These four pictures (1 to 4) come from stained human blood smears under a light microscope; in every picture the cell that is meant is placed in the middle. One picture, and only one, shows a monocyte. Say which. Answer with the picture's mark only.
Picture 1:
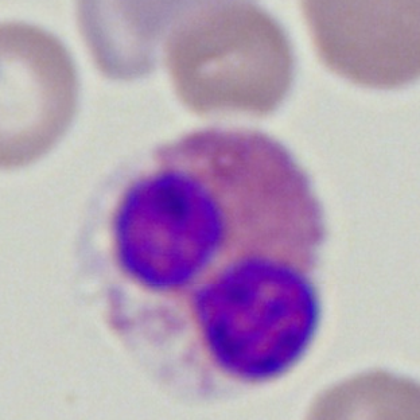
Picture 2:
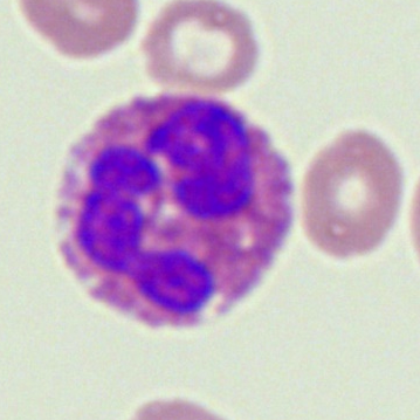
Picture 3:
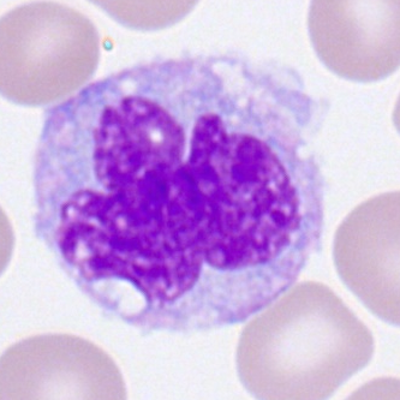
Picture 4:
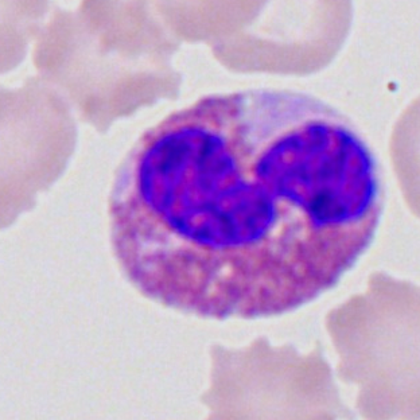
3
